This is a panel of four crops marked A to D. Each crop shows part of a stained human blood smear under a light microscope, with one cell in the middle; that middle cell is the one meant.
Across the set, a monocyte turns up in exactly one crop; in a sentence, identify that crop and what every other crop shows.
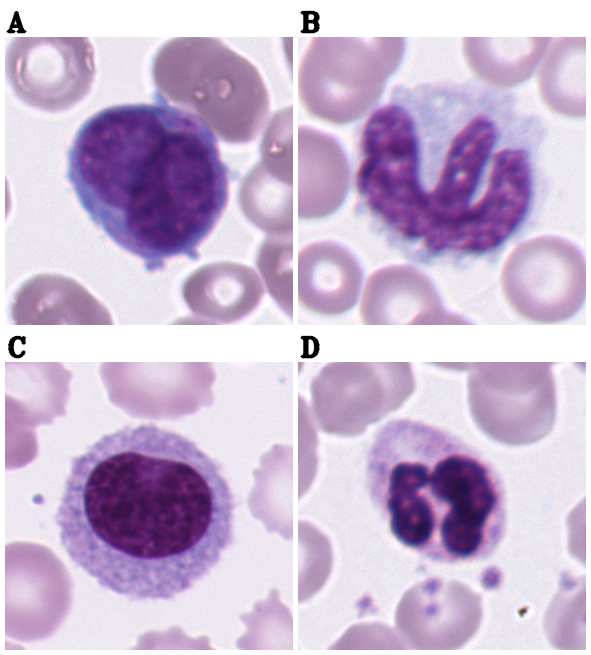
Crop B is a monocyte and, for the others, crop A is an atypical promyelocyte, crop C is a hairy cell and crop D is a segmented neutrophil.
